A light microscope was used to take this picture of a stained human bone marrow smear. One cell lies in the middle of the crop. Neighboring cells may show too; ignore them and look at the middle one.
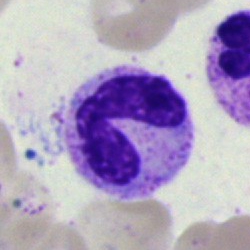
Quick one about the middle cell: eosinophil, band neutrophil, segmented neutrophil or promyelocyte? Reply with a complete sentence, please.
Present in the middle of the crop is a band neutrophil.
